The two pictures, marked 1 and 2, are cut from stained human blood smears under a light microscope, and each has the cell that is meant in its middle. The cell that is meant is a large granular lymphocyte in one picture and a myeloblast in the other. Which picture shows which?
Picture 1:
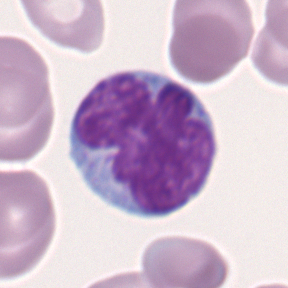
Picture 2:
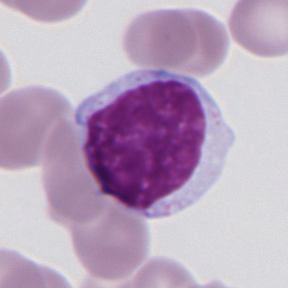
1: myeloblast
2: large granular lymphocyte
